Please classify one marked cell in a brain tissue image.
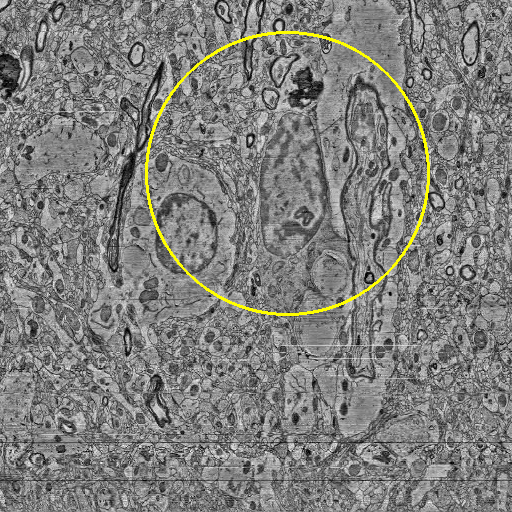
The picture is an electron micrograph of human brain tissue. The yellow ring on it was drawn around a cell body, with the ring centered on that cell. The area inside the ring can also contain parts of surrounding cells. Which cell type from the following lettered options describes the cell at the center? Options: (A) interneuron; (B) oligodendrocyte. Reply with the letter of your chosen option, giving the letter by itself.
B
